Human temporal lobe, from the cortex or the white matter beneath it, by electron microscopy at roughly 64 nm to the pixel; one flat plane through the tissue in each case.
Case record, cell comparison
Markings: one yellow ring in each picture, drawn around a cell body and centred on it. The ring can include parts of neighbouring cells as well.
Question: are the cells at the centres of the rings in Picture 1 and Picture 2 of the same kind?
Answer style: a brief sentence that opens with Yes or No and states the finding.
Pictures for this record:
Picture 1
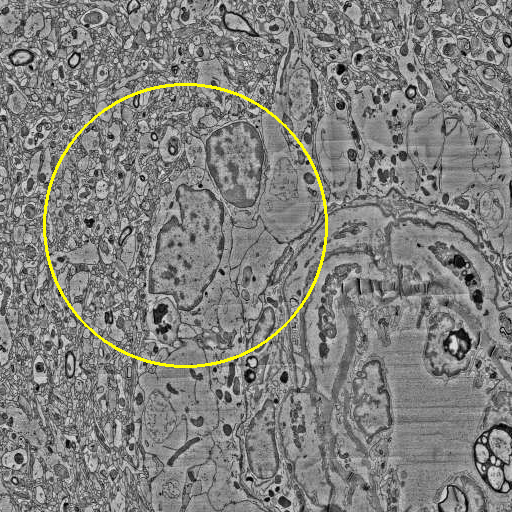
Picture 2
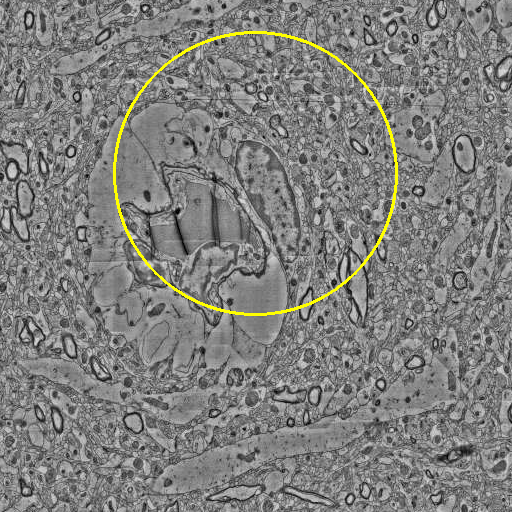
Yes, the cells in Picture 1 and Picture 2 are of the same kind.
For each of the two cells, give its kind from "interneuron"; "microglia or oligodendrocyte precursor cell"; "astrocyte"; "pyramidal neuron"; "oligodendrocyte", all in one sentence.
Both pictures show a microglial cell or oligodendrocyte precursor cell at the centre of the ring.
